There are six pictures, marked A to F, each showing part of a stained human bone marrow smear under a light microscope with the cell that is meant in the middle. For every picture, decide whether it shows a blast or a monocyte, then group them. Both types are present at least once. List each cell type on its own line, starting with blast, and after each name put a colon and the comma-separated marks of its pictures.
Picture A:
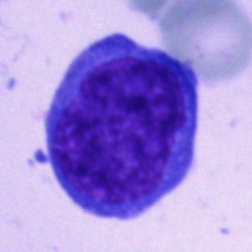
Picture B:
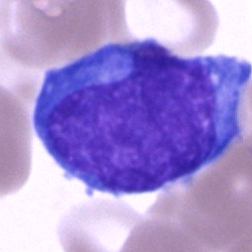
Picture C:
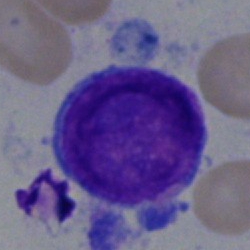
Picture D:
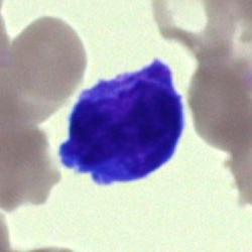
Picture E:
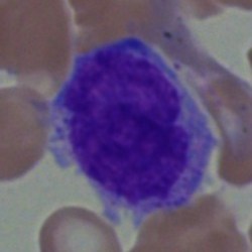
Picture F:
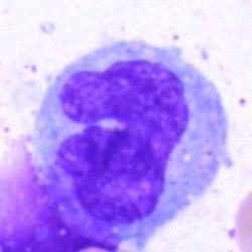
blast: A, B, C, D
monocyte: E, F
